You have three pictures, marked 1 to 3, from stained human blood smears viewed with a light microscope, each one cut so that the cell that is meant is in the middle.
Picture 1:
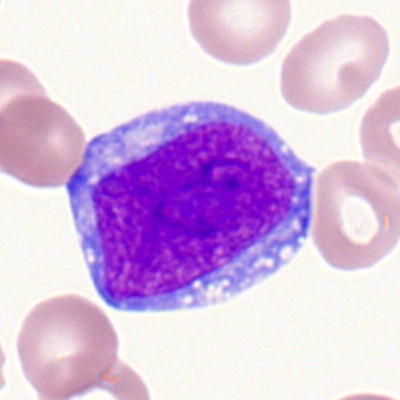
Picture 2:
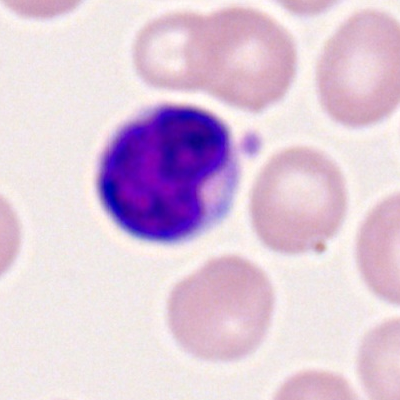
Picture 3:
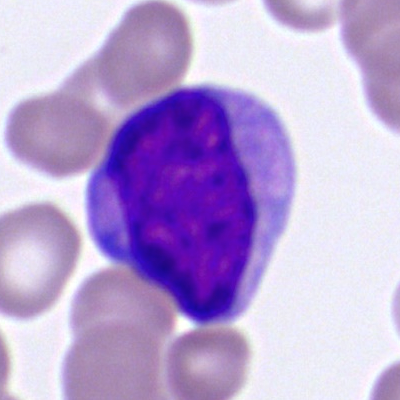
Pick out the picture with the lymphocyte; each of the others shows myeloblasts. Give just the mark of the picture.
2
